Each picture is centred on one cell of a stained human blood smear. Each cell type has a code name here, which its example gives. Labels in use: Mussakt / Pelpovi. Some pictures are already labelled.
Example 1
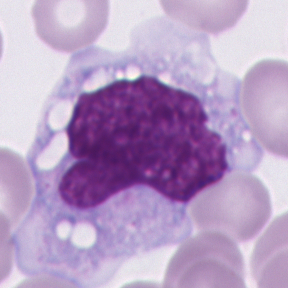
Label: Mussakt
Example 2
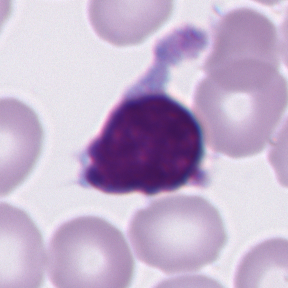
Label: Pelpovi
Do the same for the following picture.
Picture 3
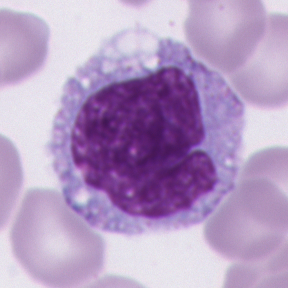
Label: Mussakt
